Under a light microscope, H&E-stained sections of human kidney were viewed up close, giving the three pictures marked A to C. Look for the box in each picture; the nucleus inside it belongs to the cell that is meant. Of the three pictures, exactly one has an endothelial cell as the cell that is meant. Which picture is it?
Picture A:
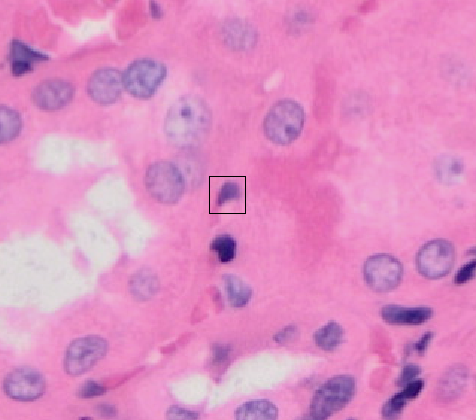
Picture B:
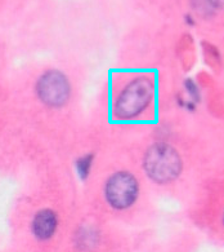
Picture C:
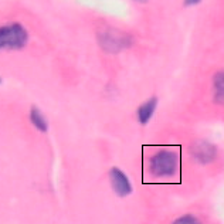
A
